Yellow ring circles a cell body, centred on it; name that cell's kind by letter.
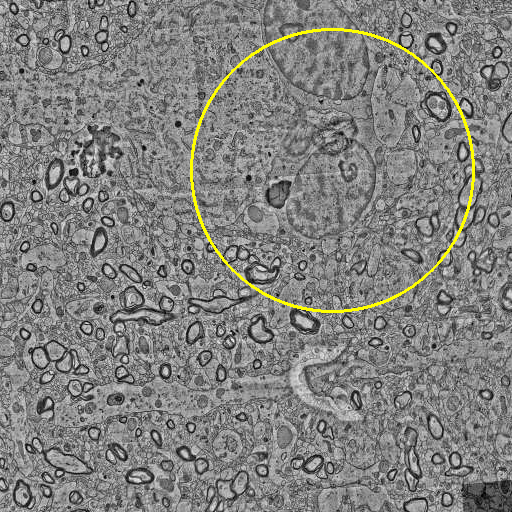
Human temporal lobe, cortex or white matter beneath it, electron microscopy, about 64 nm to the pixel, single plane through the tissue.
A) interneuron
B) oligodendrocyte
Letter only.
B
